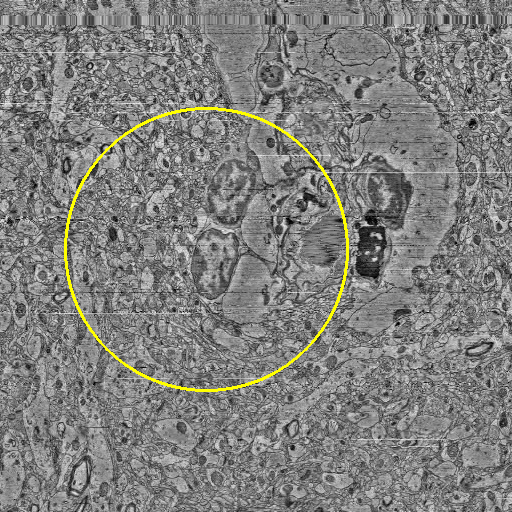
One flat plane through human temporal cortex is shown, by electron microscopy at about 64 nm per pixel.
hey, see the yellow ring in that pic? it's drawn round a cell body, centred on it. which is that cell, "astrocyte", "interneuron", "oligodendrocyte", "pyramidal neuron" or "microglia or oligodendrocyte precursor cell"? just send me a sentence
The cell in the ring is a microglial cell or oligodendrocyte precursor cell.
